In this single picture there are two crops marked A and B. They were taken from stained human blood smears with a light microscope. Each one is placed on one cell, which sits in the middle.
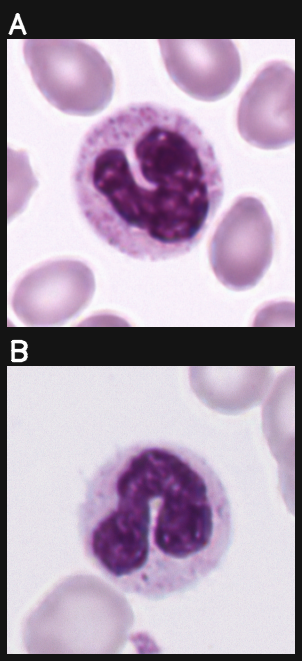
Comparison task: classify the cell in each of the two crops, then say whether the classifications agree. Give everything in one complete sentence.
Yes, they do, both crops show band neutrophils.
